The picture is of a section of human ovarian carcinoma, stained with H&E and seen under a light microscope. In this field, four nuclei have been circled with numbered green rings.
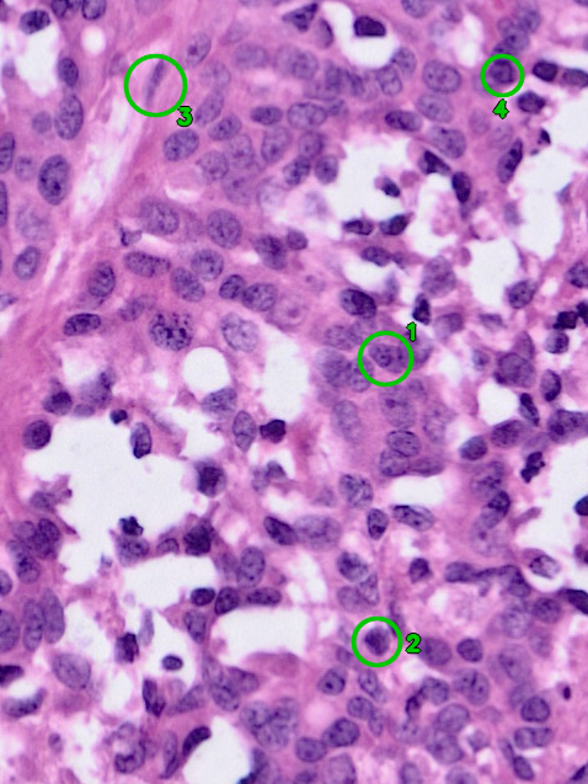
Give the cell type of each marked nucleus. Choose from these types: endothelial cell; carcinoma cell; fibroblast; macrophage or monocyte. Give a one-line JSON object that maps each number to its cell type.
{"1": "carcinoma cell", "2": "carcinoma cell", "3": "fibroblast", "4": "carcinoma cell"}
